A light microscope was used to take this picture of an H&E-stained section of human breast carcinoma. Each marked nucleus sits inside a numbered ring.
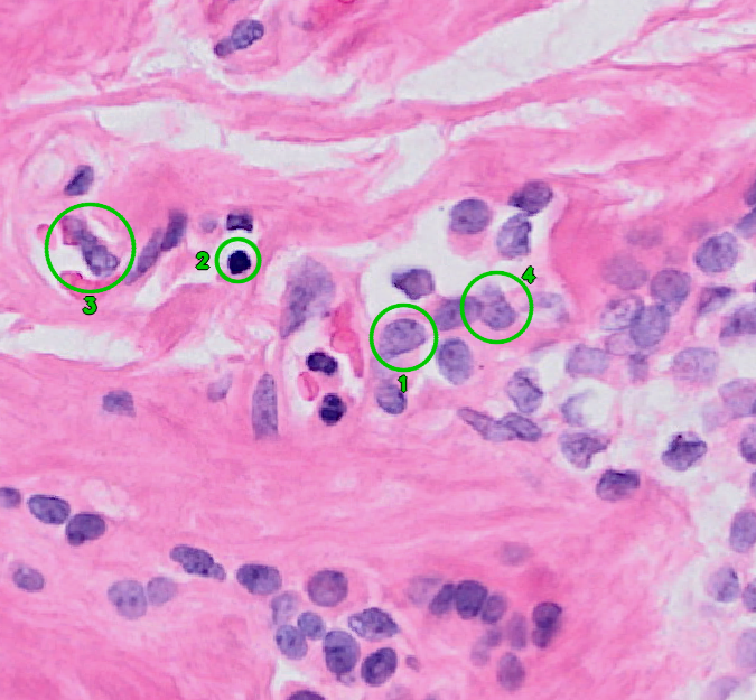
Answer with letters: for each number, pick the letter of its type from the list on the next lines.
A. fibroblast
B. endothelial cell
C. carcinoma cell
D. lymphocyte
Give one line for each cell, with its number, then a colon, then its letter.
1: C
2: D
3: B
4: C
